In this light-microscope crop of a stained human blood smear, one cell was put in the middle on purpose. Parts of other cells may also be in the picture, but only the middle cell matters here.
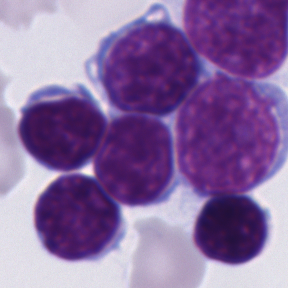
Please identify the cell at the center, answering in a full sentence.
The cell in the middle of this crop is a myeloblast.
